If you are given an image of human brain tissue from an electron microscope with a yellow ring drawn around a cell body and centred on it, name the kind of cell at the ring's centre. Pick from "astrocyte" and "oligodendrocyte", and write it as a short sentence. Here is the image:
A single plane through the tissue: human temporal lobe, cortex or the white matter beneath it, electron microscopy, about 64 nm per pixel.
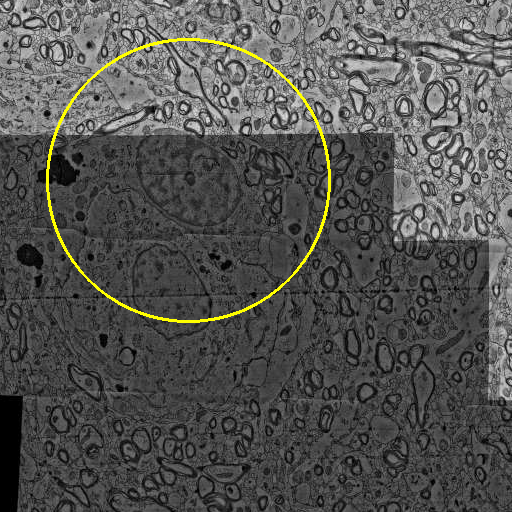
The cell at the ring's centre is an oligodendrocyte.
